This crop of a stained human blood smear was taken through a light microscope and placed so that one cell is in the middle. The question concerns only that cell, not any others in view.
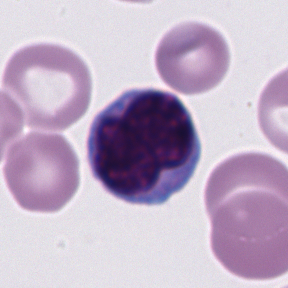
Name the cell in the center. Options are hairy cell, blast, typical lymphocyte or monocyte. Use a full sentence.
Regarding the central cell, it is a typical lymphocyte.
